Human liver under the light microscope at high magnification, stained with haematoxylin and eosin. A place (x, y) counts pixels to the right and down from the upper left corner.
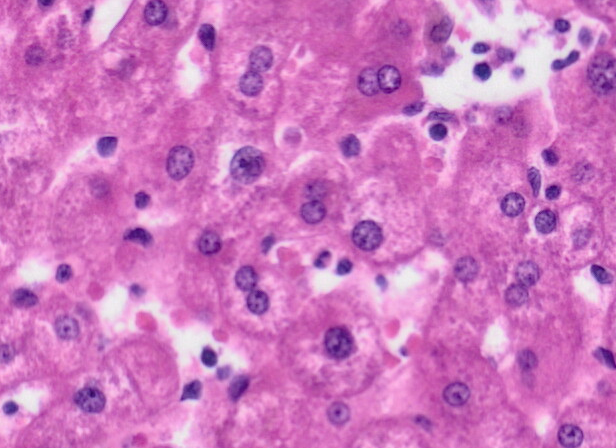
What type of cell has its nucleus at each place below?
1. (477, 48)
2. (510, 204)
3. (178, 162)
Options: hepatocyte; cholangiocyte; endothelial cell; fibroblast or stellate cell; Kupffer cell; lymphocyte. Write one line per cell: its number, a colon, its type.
1: lymphocyte
2: hepatocyte
3: hepatocyte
